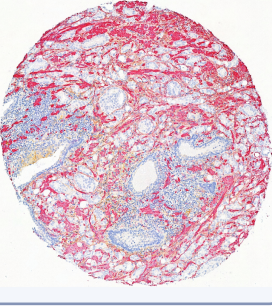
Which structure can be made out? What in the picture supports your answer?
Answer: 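Tissue microarrays. A single round core of tissue with a sharp circular edge. Empty white background around the disc.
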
